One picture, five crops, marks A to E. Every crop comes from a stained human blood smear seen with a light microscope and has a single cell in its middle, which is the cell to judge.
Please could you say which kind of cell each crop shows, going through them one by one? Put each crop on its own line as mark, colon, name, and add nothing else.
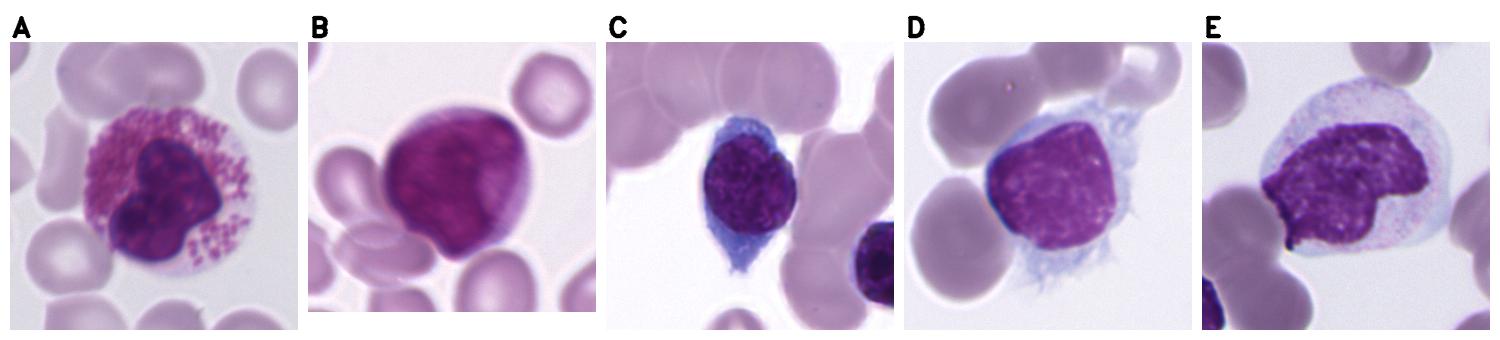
A: eosinophil
B: blast
C: plasma cell
D: hairy cell
E: metamyelocyte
